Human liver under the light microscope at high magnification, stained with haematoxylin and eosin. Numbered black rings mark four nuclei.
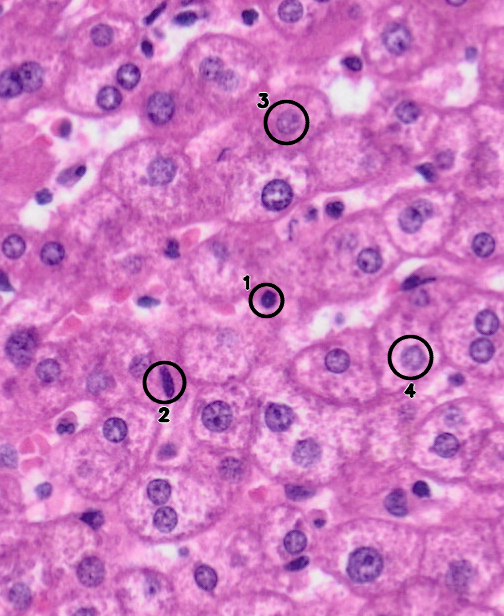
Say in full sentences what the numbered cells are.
Cell 1 is a lymphocyte. Cell 2 is a fibroblast or stellate cell. Cells 3 and 4 are hepatocytes.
